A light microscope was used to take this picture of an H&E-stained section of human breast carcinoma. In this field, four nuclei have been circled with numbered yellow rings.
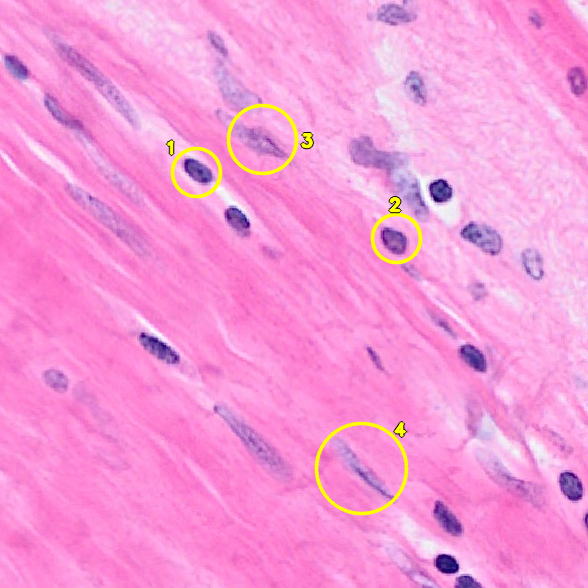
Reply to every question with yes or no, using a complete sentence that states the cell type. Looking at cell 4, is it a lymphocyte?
No, a lymphocyte is not what cell 4 is; it is a fibroblast.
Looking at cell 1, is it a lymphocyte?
Yes, with respect to number 1, the cell is a lymphocyte.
